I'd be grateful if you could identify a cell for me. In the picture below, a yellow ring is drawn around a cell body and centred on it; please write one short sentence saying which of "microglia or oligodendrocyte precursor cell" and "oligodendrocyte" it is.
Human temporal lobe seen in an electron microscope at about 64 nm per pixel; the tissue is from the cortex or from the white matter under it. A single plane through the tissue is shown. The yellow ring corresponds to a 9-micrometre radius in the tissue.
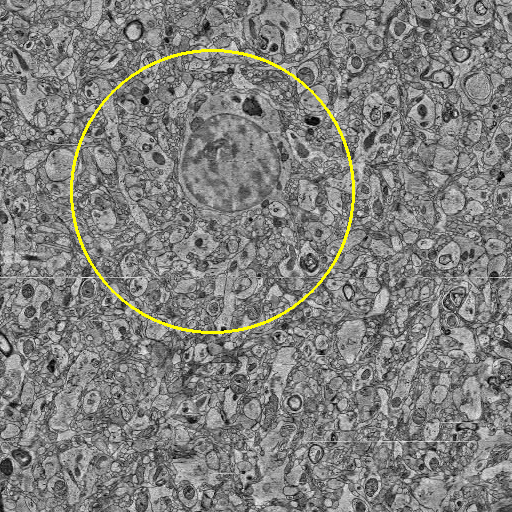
The cell under the ring's centre is an oligodendrocyte.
